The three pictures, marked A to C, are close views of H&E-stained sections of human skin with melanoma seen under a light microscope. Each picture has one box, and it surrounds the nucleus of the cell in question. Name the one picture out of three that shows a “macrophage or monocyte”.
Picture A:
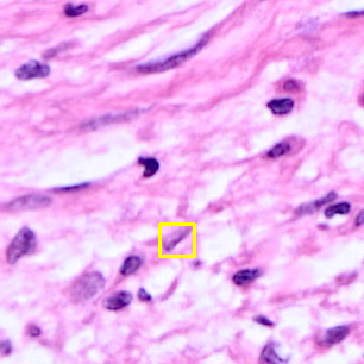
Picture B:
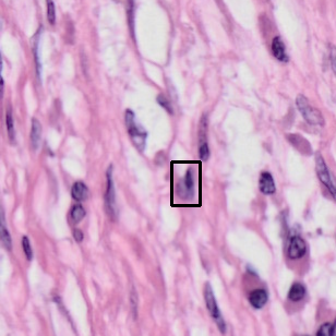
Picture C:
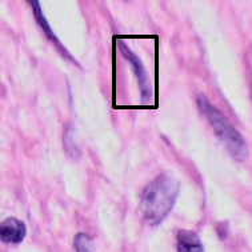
B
